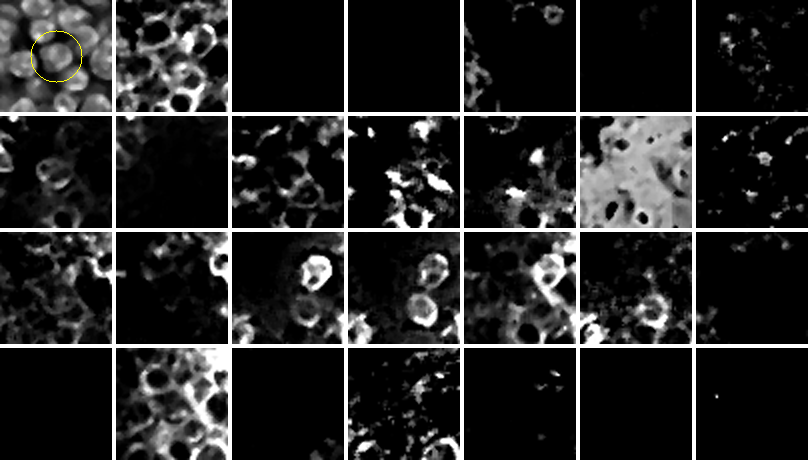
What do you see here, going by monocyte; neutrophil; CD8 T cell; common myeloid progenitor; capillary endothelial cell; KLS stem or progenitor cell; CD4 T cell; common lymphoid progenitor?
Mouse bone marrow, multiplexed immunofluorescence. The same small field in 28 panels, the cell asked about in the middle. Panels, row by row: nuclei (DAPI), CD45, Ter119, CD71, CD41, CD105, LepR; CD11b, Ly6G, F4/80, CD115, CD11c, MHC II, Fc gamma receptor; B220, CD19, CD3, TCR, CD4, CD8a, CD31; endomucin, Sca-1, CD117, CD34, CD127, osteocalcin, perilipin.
I see a monocyte.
